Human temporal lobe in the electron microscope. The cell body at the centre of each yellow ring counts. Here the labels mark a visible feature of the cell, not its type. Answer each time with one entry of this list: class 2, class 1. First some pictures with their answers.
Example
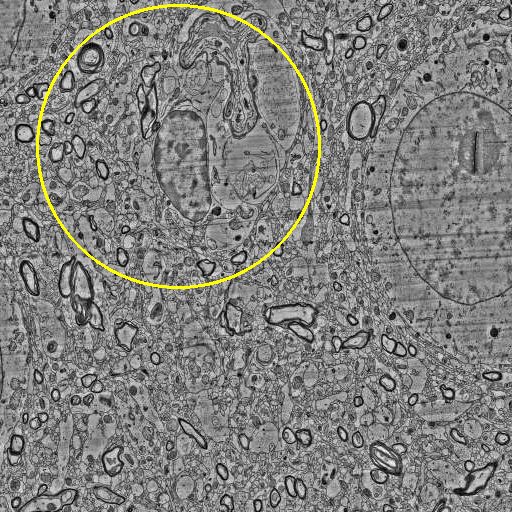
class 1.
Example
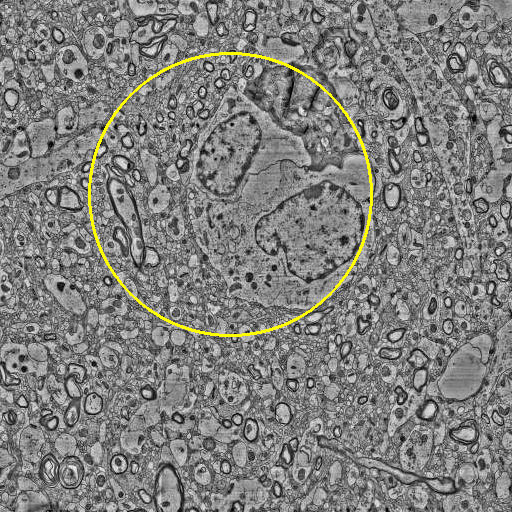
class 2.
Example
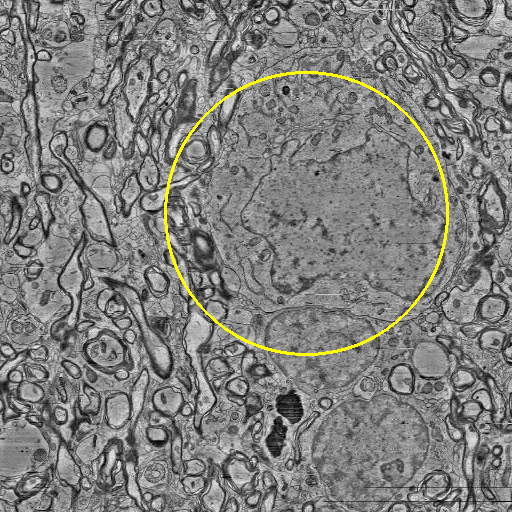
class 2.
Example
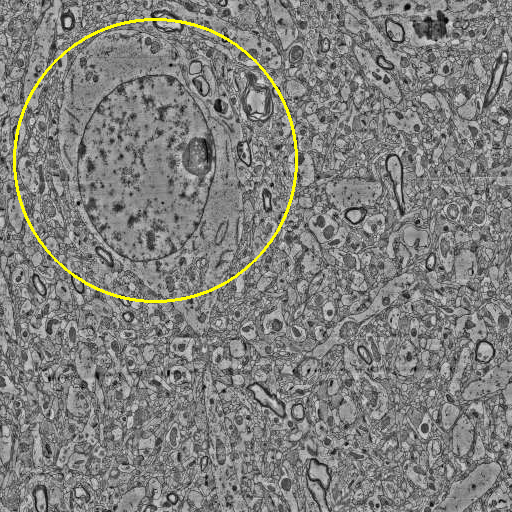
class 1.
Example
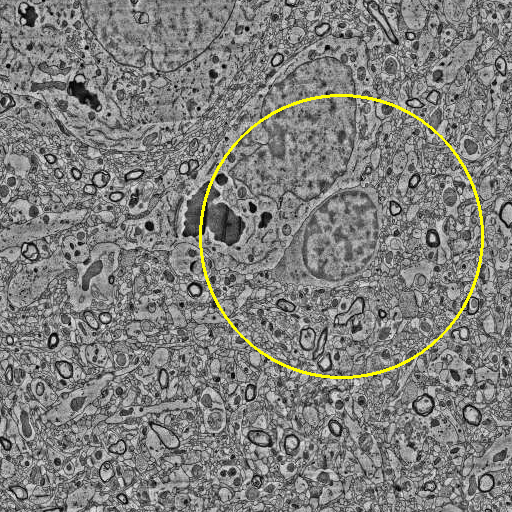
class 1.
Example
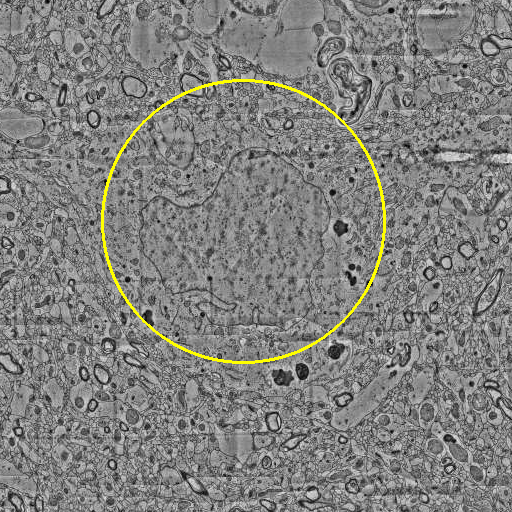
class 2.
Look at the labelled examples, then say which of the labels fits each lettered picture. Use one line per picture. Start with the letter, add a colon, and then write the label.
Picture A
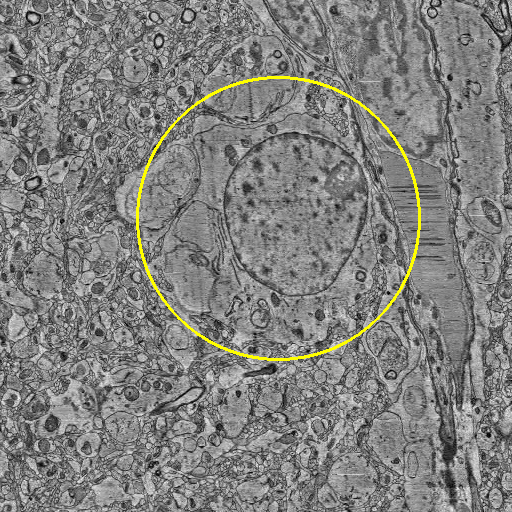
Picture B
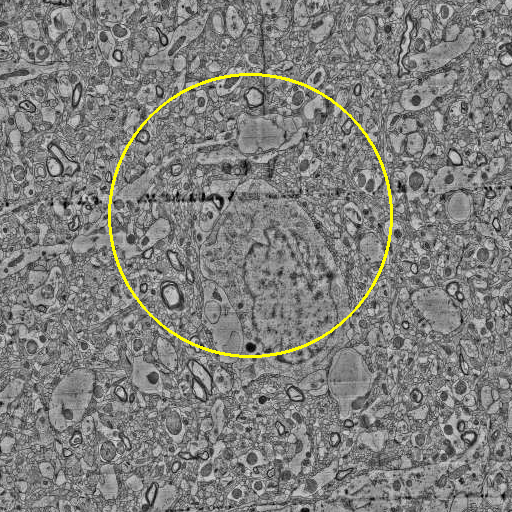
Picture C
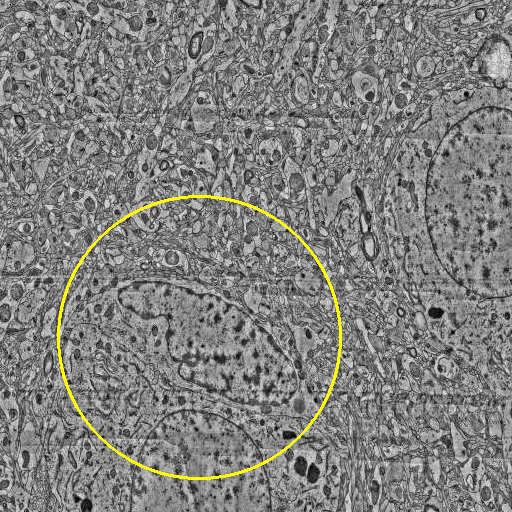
A: class 1.
B: class 2.
C: class 2.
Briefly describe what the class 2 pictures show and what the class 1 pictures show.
class 2: deeply folded or indented nuclear envelopes; class 1: smooth nuclear envelopes without deep folds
